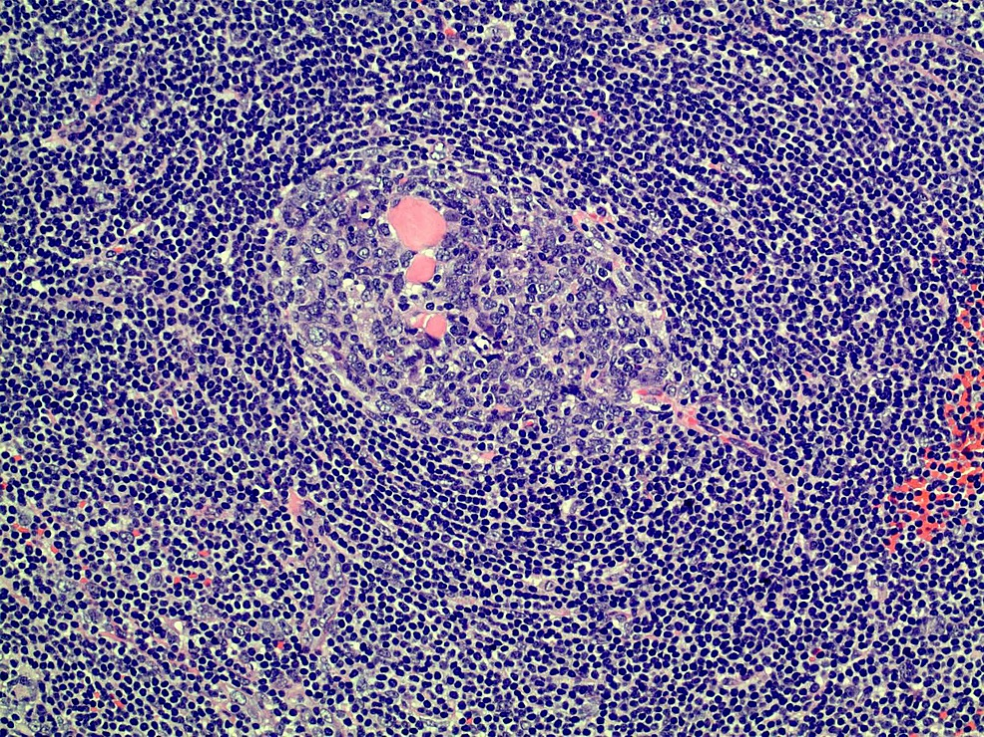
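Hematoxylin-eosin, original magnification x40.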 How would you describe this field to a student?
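This lymphoid tissue shows a single follicle with a small, shrunken germinal center surrounded by a broad mantle zone of small lymphocytes. The germinal center is a rounded pale cluster of larger cells with oval, lighter-staining nuclei and pinkish cytoplasm. Within it lie rounded, glassy pink deposits, and thin pink strands extend from the follicle outward into the surrounding tissue. Around the center, small lymphocytes with dense, dark, round nuclei and scant cytoplasm are packed in concentric rings, giving a layered, onion-skin pattern. At the right edge, a small collection of red blood cells is seen among the lymphocytes.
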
